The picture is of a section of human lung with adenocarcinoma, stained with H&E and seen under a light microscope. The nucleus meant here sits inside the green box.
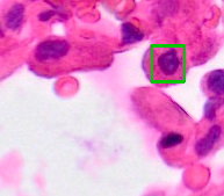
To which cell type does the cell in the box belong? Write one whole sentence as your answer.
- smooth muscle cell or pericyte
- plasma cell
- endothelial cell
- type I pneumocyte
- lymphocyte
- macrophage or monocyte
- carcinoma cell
On this particular slide, the cell in the box is a macrophage or monocyte.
